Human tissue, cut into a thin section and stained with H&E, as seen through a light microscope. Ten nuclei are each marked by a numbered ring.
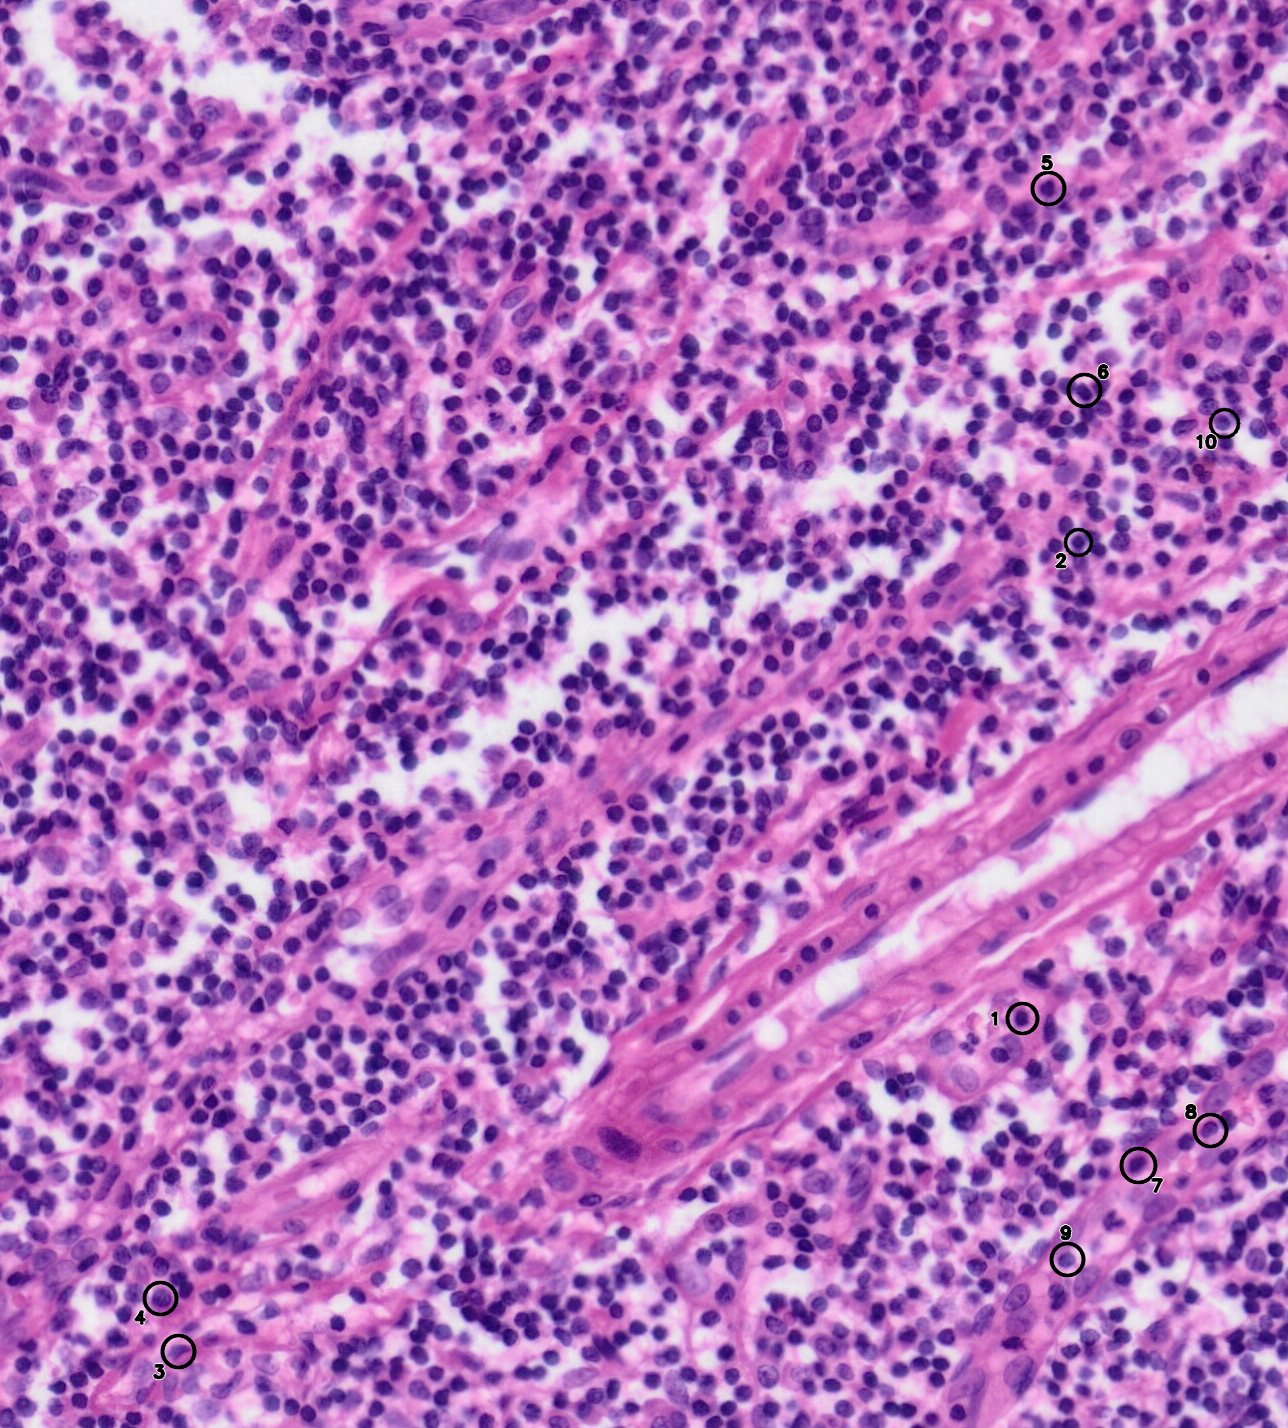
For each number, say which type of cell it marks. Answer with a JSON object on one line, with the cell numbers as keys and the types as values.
{"1": "endothelial cell", "2": "small lymphocyte", "3": "endothelial cell", "4": "plasma cell", "5": "endothelial cell", "6": "small lymphocyte", "7": "endothelial cell", "8": "endothelial cell", "9": "endothelial cell", "10": "small lymphocyte"}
